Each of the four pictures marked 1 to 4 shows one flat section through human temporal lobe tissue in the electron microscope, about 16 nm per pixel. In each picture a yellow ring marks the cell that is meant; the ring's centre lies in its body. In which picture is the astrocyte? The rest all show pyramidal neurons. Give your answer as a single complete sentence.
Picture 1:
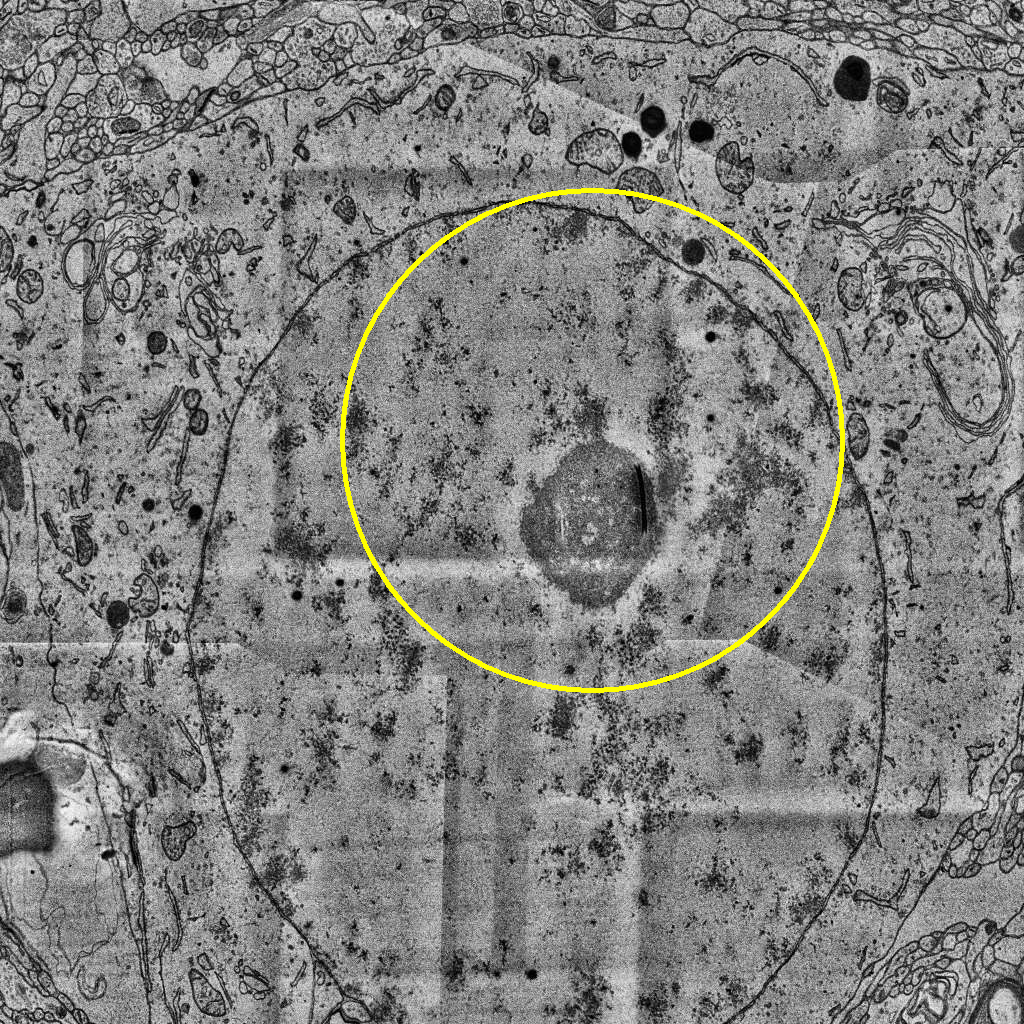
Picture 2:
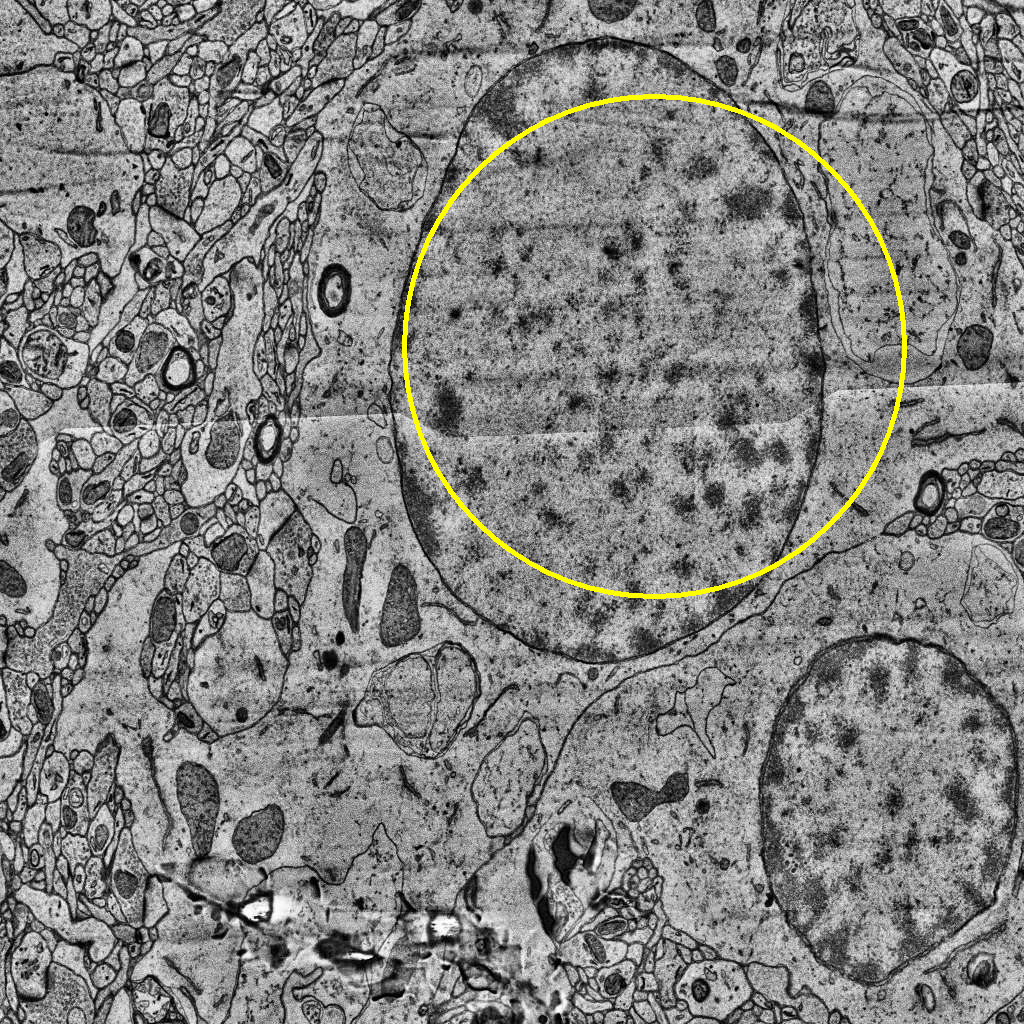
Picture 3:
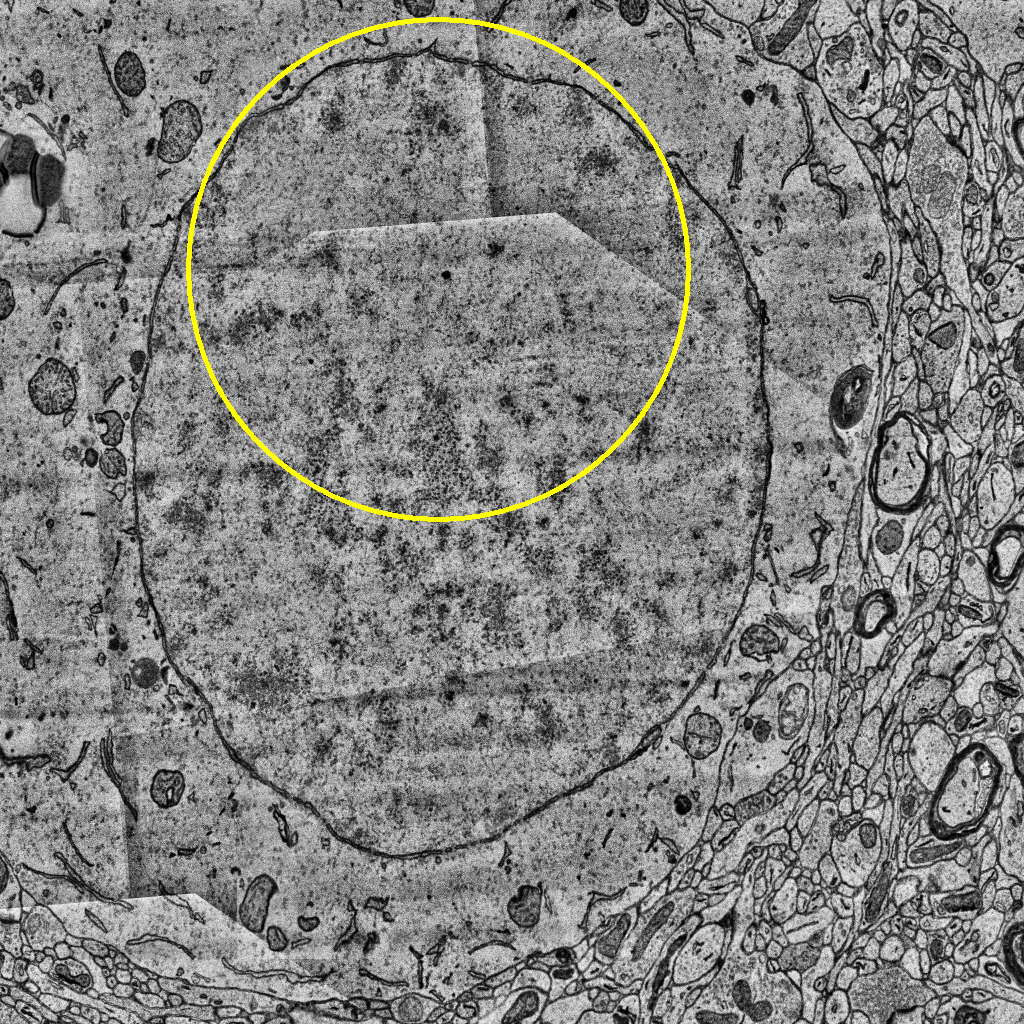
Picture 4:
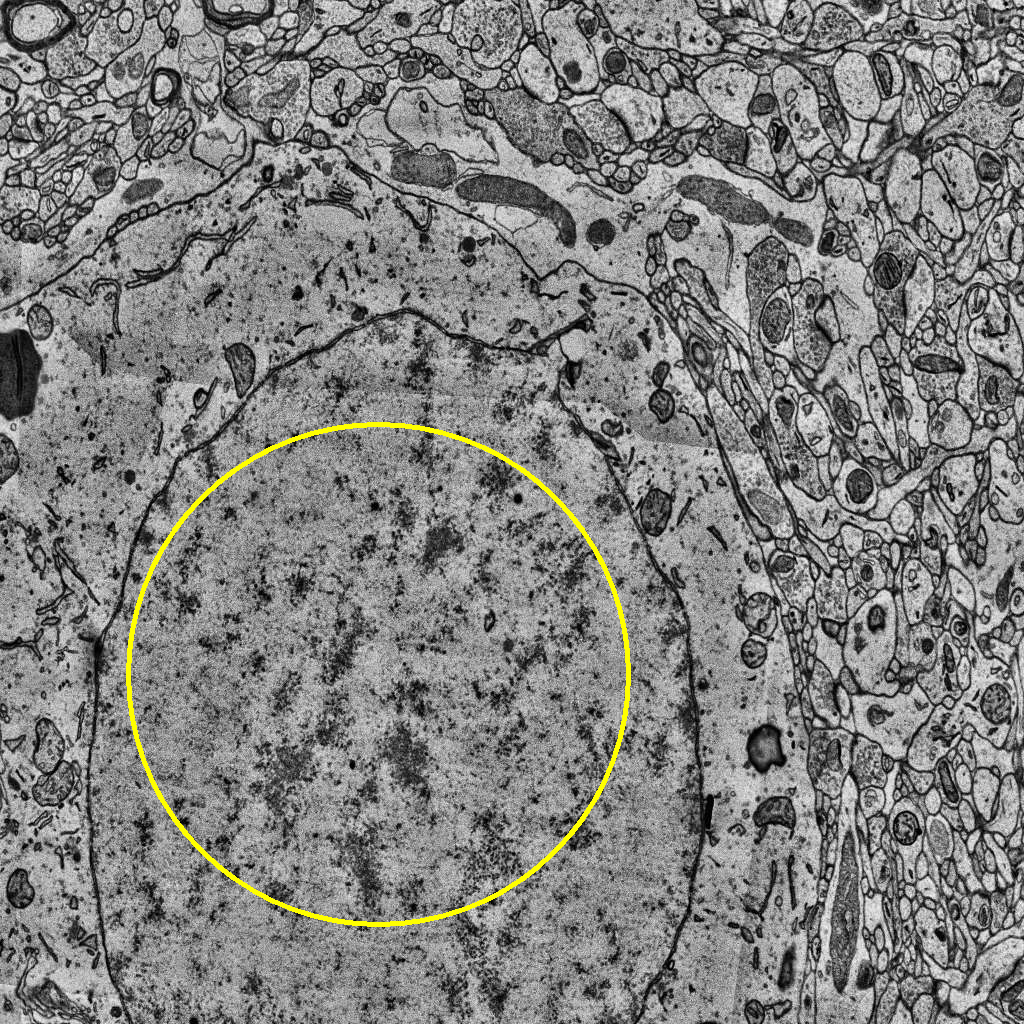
Picture 2 shows the astrocyte.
